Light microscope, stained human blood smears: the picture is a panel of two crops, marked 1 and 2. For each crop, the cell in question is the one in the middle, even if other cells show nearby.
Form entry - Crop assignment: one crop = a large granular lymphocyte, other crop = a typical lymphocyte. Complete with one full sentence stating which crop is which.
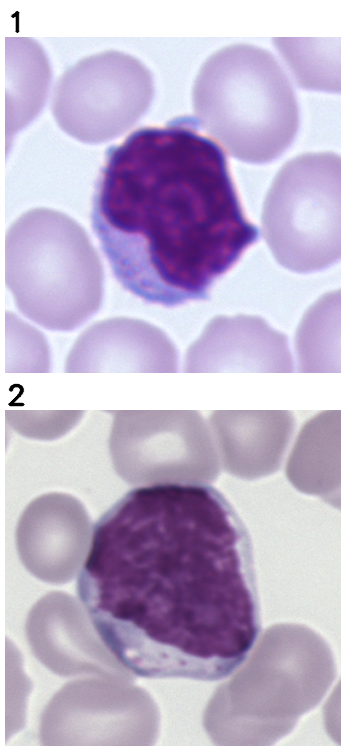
Within crop 1 sits a typical lymphocyte, and within crop 2 sits a large granular lymphocyte.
